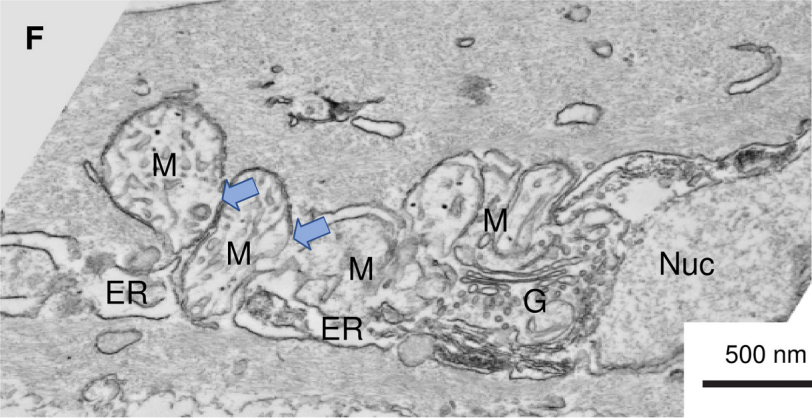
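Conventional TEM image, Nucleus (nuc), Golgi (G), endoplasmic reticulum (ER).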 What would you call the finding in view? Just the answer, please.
Mitochondrial aggregation and fusion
